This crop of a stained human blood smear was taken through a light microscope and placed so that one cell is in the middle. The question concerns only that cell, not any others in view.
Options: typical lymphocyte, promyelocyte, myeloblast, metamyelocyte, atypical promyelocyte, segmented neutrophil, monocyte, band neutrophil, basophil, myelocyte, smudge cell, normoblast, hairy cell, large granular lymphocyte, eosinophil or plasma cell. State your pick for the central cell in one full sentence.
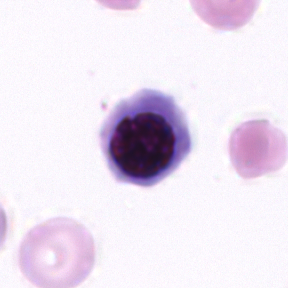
Framed in the middle of the crop is a normoblast.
